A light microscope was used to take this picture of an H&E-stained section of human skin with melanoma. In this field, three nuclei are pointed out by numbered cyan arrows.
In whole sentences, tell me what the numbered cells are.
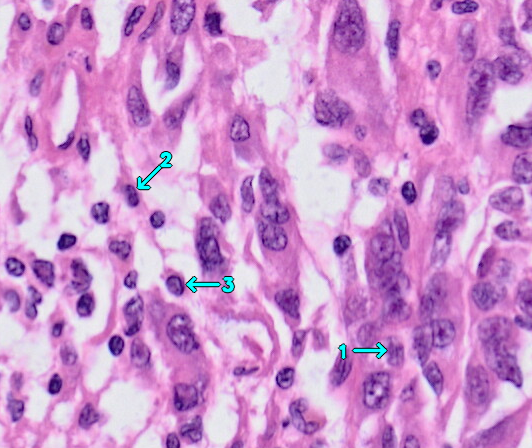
Cell 1 is a melanoma cell, cell 2 is a macrophage or monocyte and cell 3 is a macrophage or monocyte.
